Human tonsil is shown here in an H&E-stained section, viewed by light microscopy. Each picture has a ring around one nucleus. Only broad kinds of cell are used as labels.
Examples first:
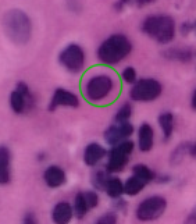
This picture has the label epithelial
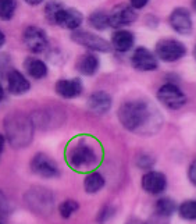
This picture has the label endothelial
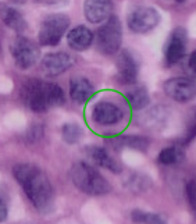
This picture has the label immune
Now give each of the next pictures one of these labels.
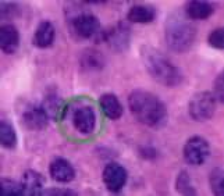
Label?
immune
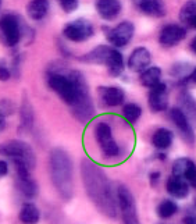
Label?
endothelial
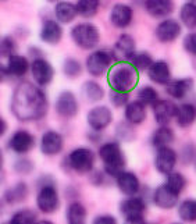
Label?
immune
